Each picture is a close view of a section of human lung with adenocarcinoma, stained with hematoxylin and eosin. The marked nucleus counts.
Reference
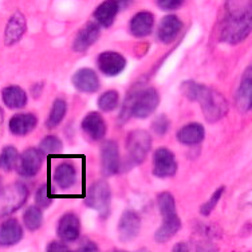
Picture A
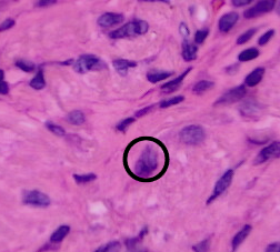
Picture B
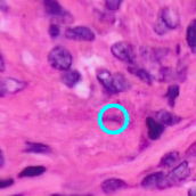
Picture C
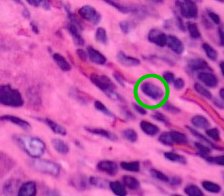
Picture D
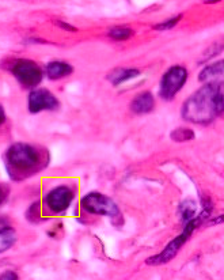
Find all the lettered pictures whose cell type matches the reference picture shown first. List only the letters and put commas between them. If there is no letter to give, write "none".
C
